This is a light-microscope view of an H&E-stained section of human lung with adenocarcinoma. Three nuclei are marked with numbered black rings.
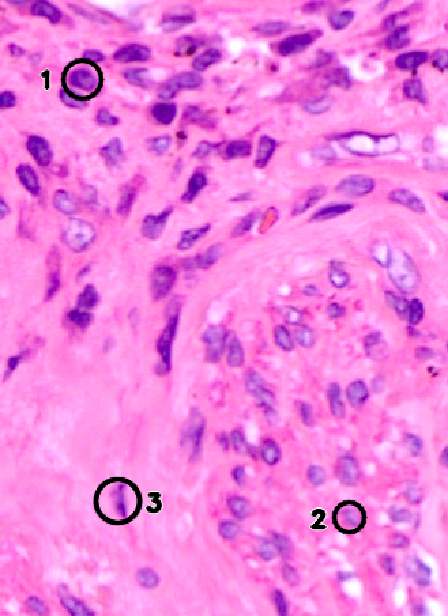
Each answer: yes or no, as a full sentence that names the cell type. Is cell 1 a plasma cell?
Yes, on this slide, the cell with number 1 is a plasma cell.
